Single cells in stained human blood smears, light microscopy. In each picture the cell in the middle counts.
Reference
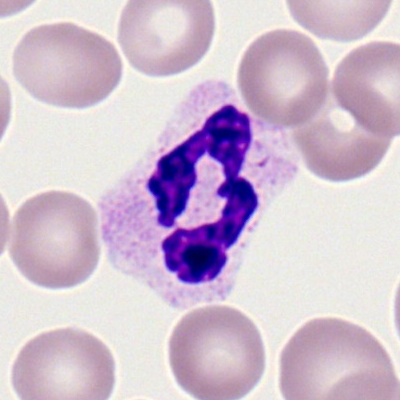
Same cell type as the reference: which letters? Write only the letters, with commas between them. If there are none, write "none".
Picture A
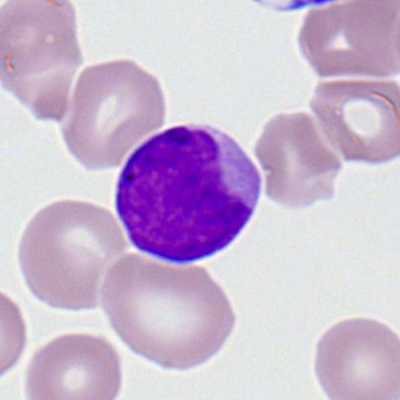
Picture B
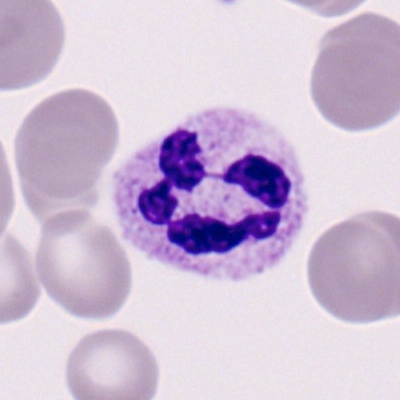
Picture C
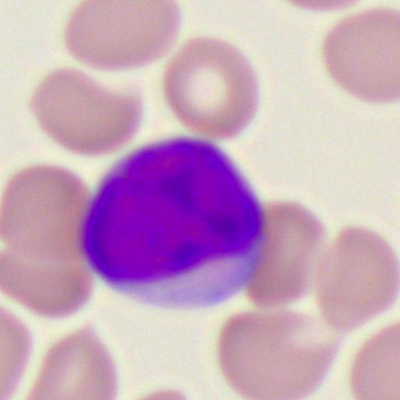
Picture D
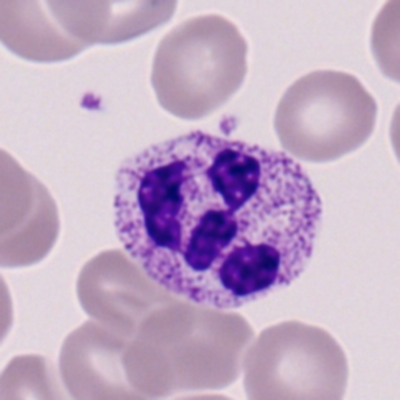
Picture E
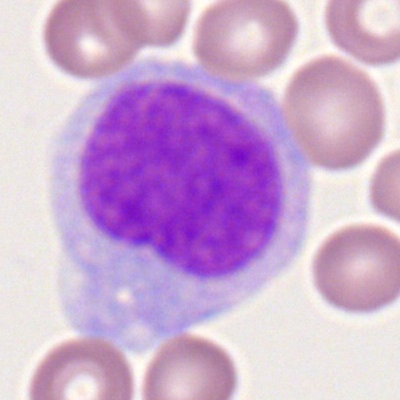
B, D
